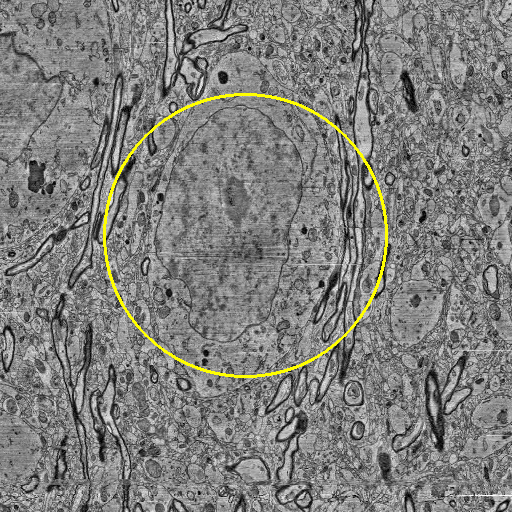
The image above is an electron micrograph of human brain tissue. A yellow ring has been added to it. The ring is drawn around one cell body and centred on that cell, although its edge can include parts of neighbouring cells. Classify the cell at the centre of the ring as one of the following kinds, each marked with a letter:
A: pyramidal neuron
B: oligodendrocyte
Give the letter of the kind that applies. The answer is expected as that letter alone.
A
